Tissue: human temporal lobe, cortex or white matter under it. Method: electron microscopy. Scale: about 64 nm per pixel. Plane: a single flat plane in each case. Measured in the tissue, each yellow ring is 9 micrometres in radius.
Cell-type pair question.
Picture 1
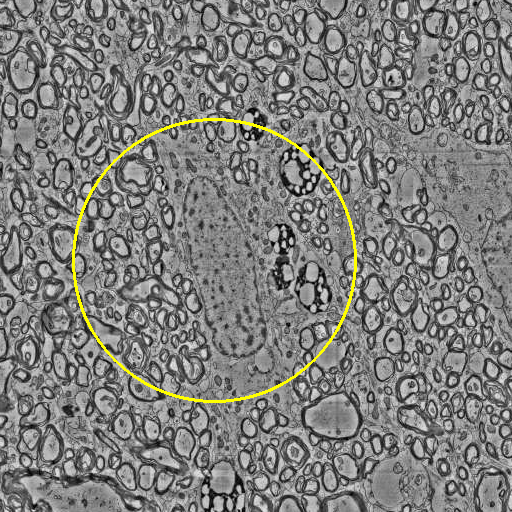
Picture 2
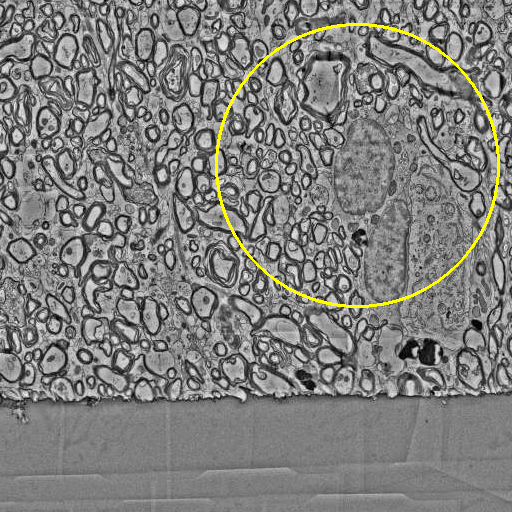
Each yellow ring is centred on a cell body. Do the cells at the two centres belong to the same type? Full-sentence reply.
No, the two cells belong to two types.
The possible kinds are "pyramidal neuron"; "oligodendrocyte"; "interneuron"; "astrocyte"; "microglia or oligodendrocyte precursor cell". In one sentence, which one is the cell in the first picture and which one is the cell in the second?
The cell ringed in the second picture is an oligodendrocyte, whereas the one ringed in the first is an astrocyte.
